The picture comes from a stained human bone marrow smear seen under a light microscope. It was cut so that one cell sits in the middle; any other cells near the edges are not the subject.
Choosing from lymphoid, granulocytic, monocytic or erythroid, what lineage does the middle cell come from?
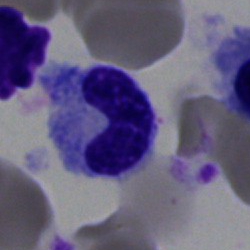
granulocytic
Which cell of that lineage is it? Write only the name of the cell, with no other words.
band neutrophil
